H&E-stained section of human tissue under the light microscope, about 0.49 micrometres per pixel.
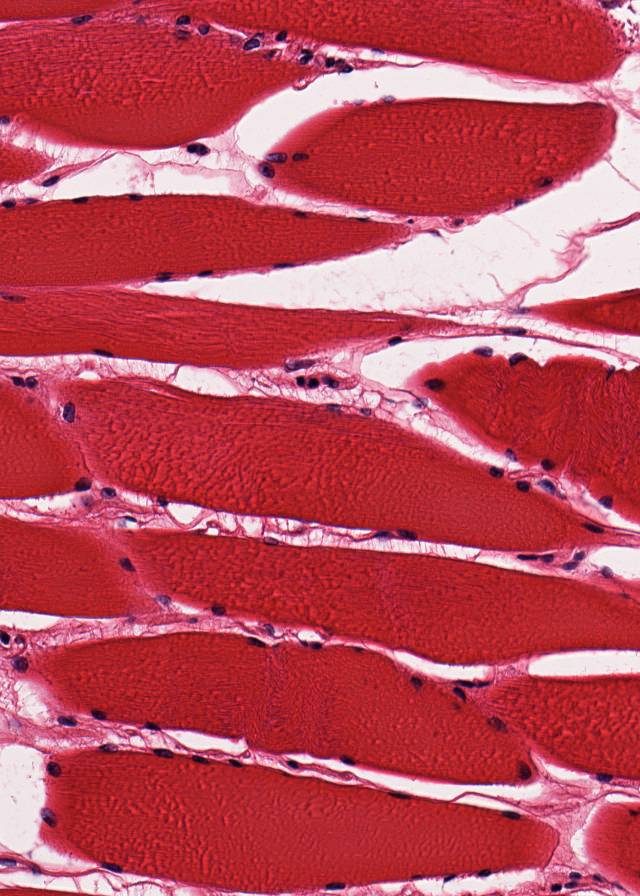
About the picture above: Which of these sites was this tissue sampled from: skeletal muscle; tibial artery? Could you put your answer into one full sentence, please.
A sample from the skeletal muscle makes up this section.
